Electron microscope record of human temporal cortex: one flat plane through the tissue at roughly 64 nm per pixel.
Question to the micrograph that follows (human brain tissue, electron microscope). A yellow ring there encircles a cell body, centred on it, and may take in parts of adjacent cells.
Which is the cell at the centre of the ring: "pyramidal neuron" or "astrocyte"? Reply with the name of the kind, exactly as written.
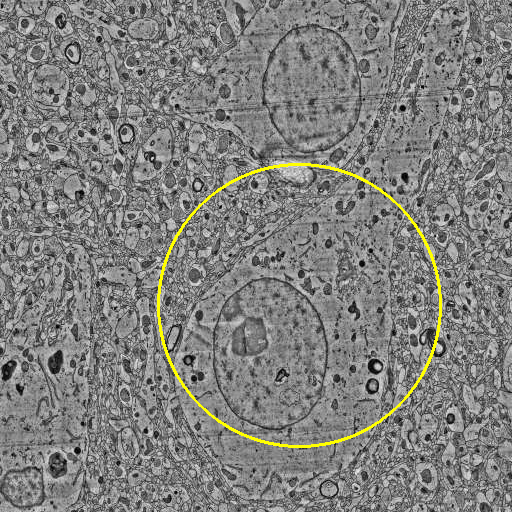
pyramidal neuron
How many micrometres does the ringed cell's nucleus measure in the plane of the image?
The ringed cell's nucleus is about 10 micrometres long and 7 micrometres wide in this plane.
